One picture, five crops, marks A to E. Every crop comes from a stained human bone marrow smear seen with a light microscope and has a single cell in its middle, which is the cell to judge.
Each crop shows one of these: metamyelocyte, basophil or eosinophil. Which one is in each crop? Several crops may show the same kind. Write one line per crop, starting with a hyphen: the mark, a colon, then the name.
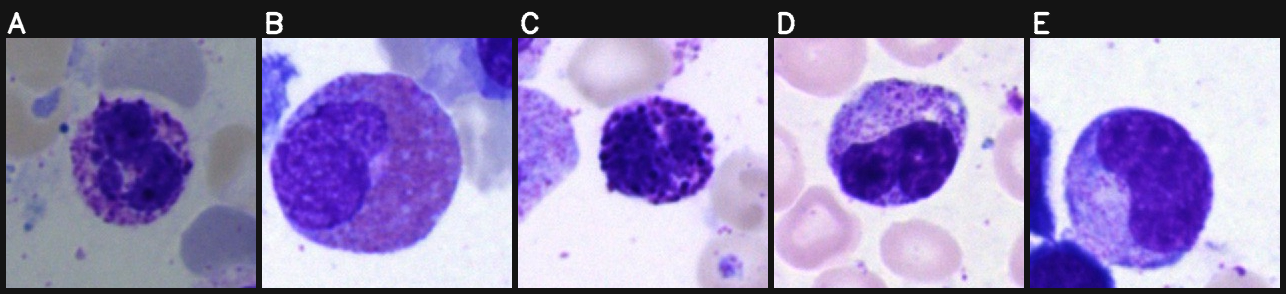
- A: basophil
- B: eosinophil
- C: basophil
- D: metamyelocyte
- E: metamyelocyte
